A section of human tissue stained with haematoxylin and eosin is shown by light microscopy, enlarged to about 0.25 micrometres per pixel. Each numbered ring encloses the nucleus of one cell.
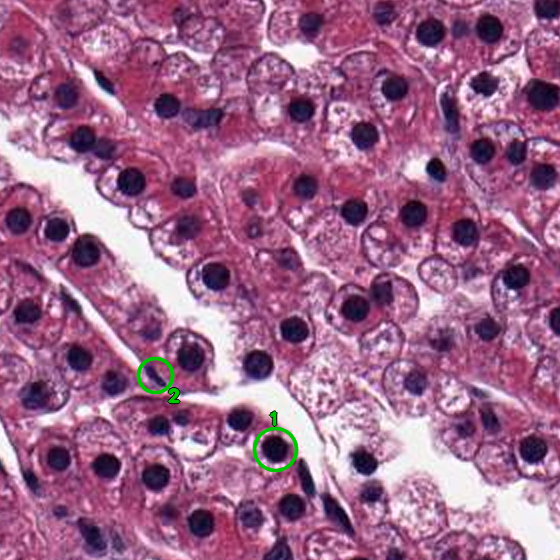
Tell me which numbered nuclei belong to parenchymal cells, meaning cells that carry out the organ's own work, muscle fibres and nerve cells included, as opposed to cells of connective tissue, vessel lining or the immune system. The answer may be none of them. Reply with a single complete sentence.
No numbered nucleus other than nucleus 1 belongs to a parenchymal cell.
